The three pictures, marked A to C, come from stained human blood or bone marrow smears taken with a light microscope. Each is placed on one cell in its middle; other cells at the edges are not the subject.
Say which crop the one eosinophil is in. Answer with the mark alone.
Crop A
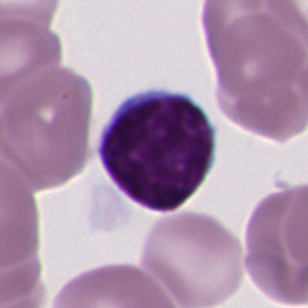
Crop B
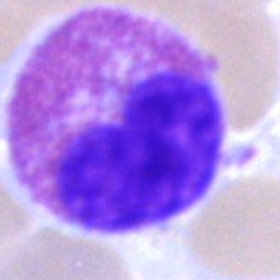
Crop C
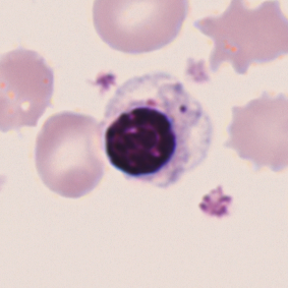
B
